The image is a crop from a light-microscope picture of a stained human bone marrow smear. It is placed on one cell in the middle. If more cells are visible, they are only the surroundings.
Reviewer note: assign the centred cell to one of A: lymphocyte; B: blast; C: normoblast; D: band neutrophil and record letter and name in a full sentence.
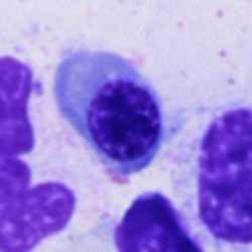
For this crop, option C is right, the centered cell being a normoblast.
